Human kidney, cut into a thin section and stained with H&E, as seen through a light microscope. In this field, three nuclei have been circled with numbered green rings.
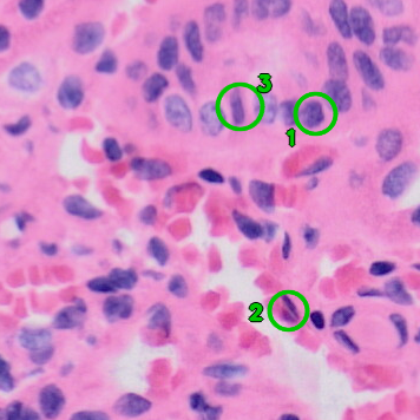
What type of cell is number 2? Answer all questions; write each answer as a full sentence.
Numbered cell 2 is an endothelial cell in this tissue section.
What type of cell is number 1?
The identity of cell 1 is that of a collecting duct cell.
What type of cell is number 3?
Among the marked cells, number 3 is a collecting duct cell.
